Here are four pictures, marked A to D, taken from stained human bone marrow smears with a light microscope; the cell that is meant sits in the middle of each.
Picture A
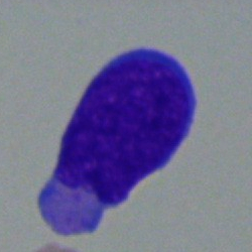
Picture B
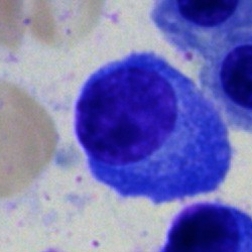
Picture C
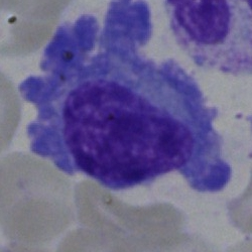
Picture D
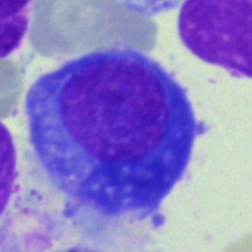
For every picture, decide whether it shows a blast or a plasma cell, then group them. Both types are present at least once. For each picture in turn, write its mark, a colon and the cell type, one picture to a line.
A: blast
B: plasma cell
C: plasma cell
D: plasma cell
